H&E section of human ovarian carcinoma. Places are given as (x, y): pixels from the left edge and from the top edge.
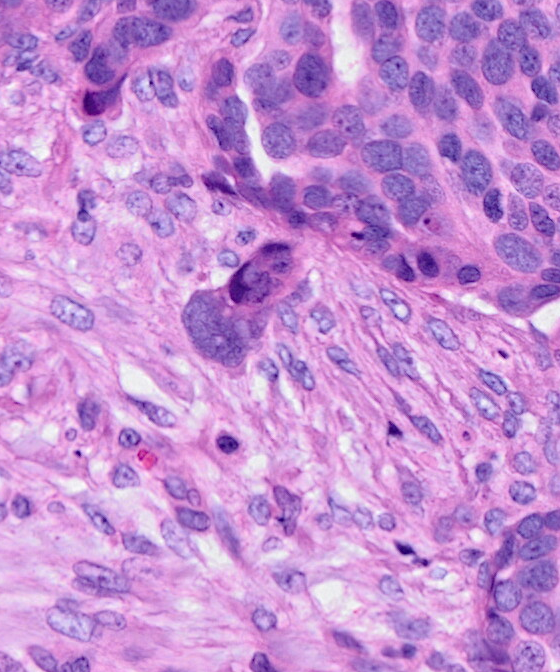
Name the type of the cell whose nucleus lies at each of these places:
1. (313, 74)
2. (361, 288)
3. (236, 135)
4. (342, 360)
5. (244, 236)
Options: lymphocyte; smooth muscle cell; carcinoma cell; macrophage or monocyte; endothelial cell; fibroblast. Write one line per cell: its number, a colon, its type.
1: carcinoma cell
2: fibroblast
3: carcinoma cell
4: fibroblast
5: macrophage or monocyte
